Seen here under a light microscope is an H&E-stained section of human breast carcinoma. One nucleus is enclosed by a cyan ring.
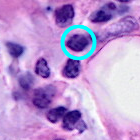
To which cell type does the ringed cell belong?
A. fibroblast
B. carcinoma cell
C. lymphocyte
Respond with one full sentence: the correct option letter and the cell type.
The right pick is option C; the ringed cell is a lymphocyte.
